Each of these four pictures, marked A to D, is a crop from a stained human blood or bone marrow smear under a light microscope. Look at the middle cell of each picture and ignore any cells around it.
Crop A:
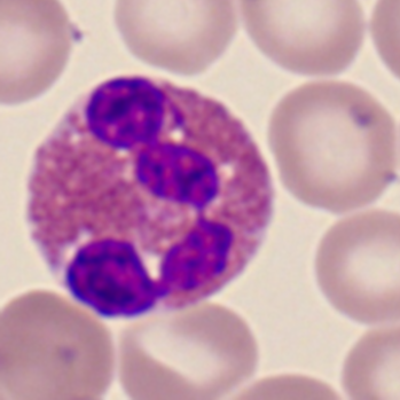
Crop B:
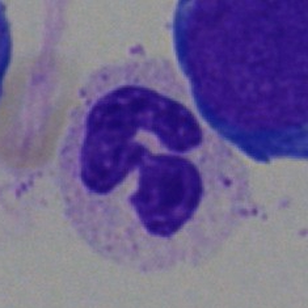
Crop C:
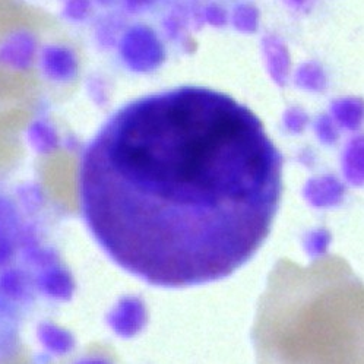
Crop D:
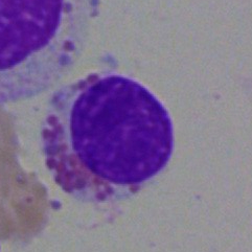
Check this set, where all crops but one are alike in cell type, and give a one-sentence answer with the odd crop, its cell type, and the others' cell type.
What sets crop B apart is that it is a segmented neutrophil; the others are all eosinophils.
